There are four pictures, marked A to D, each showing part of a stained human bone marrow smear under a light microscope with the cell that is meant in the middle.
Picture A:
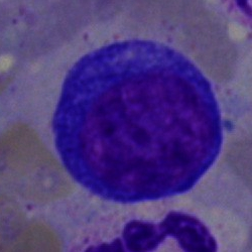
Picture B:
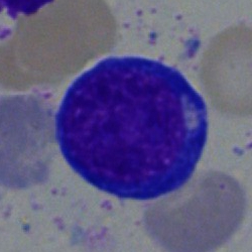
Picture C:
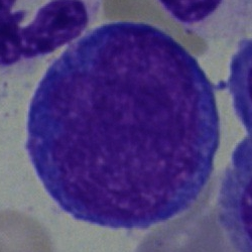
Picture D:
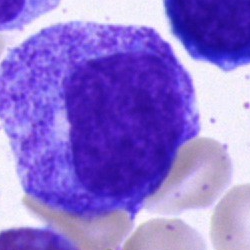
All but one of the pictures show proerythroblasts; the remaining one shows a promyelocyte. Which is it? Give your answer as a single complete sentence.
Picture D is the one that shows the promyelocyte.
